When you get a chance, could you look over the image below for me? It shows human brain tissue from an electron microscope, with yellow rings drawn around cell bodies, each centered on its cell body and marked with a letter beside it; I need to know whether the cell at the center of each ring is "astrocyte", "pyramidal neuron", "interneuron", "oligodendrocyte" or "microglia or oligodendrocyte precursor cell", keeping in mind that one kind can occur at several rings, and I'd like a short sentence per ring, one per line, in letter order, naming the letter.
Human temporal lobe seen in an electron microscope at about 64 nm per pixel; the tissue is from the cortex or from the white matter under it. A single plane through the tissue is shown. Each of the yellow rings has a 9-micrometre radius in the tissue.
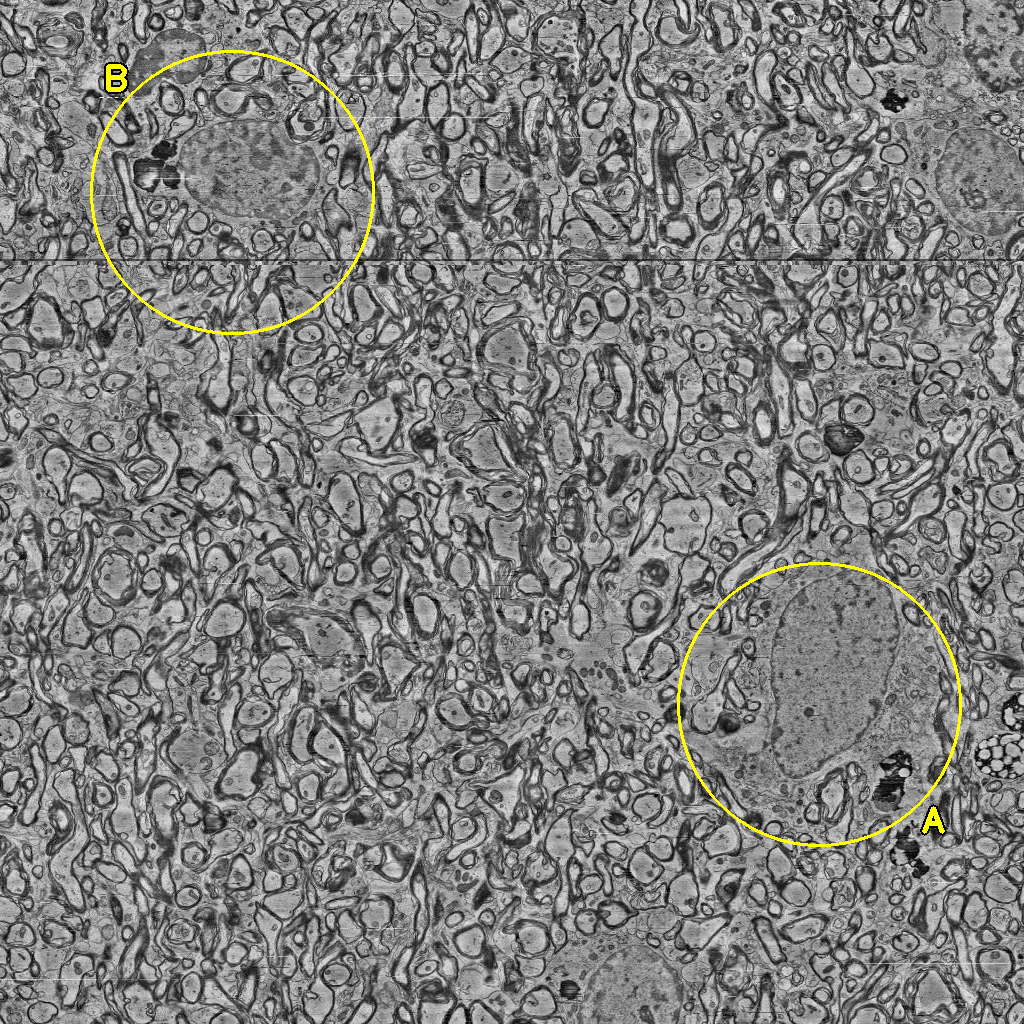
Ring A is centered on an astrocyte.
Ring B is centered on an oligodendrocyte.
